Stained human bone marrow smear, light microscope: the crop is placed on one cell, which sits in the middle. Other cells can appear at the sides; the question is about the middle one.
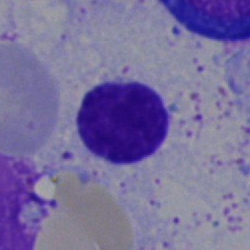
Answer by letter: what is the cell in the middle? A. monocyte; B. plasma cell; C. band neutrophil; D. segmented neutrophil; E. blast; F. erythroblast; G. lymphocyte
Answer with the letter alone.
G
